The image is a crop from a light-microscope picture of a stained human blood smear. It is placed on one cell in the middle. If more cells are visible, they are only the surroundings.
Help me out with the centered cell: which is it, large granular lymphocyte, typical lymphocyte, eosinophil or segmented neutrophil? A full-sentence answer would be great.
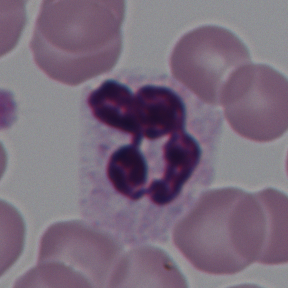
This particular crop is centered on a segmented neutrophil.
